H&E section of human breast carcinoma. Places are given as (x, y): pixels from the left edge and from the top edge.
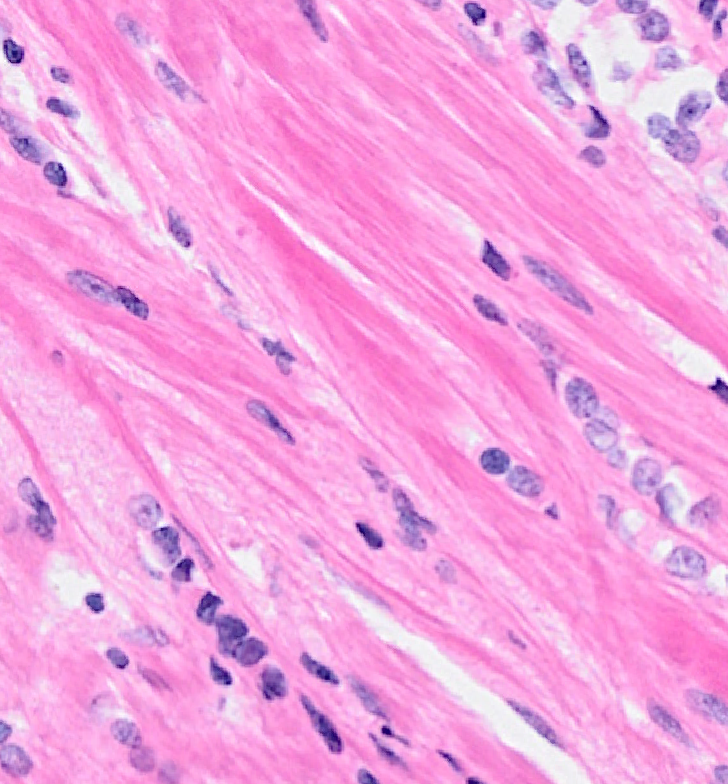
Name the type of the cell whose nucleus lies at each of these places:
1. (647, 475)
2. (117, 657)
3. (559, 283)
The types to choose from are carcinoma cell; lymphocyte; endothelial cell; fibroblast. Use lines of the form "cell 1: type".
cell 1: carcinoma cell
cell 2: lymphocyte
cell 3: fibroblast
